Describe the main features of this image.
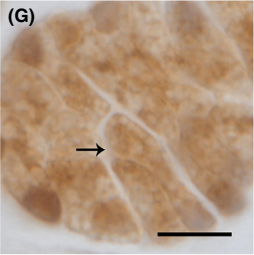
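Secretory gland tissue made of large, closely packed cells whose round nuclei lie toward the outer edge of each gland unit. The cytoplasm is filled with fine brown granules, and thin pale lines mark the borders between neighbouring cells and units.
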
